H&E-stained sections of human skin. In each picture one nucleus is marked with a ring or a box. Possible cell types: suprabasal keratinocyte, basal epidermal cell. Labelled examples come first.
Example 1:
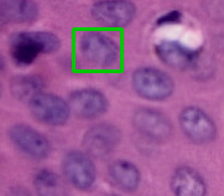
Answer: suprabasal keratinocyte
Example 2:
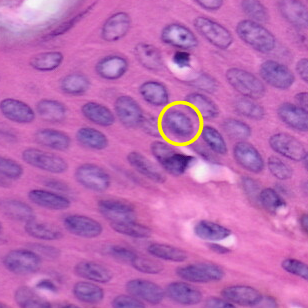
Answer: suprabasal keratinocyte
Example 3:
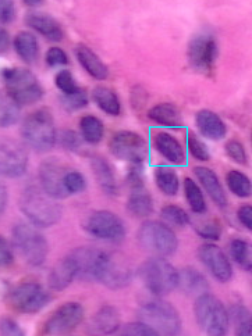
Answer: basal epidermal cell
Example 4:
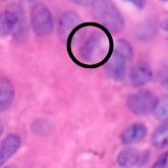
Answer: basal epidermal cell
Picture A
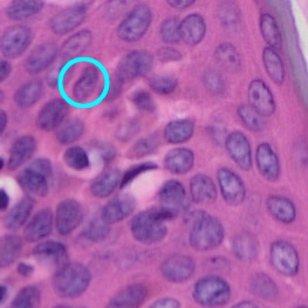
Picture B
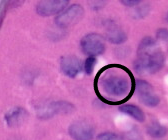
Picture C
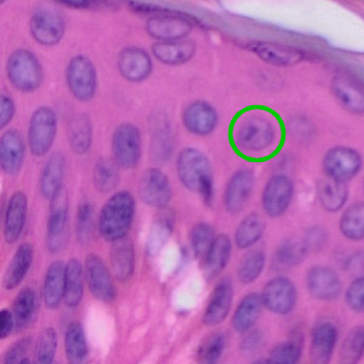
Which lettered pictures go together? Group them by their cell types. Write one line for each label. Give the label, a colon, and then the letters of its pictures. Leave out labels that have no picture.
suprabasal keratinocyte: C
basal epidermal cell: A, B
